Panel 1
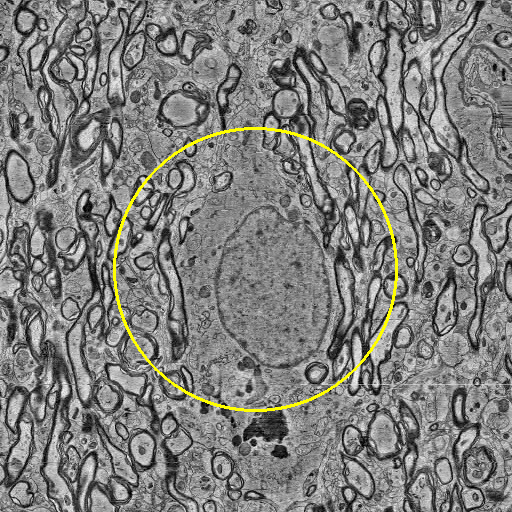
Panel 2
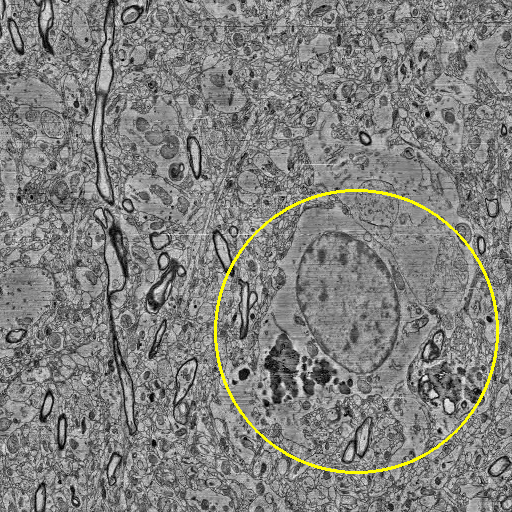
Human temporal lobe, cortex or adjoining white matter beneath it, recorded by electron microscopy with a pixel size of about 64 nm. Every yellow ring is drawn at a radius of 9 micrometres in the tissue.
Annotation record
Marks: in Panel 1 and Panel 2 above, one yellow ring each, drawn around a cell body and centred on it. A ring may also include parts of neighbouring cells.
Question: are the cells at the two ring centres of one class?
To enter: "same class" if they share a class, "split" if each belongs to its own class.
same class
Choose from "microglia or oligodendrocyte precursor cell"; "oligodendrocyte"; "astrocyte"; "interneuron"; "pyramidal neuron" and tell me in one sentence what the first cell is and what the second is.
Each of the two rings surrounds an astrocyte.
